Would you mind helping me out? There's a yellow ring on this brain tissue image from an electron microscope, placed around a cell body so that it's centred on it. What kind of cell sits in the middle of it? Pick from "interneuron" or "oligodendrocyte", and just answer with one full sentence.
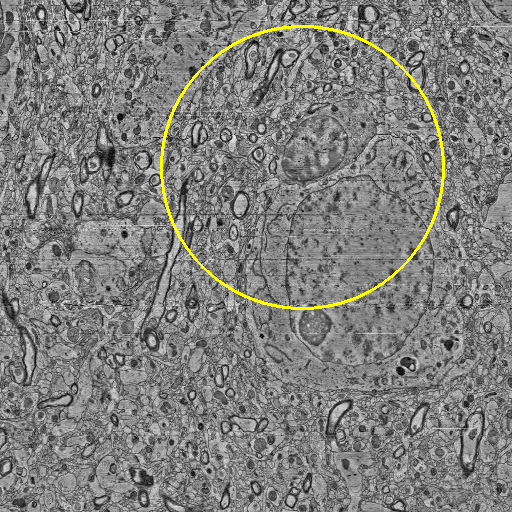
What sits in the middle of that yellow ring is an oligodendrocyte, from your choices.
